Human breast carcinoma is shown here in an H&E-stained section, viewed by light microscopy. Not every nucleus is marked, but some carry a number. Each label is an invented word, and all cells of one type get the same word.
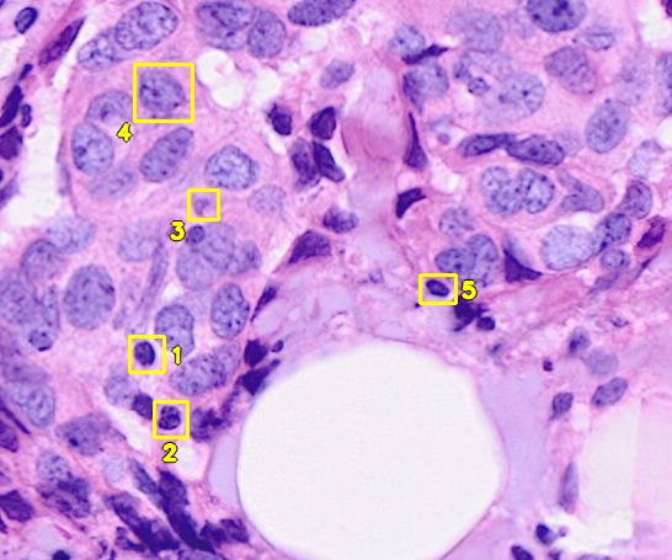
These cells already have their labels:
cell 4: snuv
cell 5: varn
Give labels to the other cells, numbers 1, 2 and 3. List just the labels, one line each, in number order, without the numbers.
varn
varn
snuv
